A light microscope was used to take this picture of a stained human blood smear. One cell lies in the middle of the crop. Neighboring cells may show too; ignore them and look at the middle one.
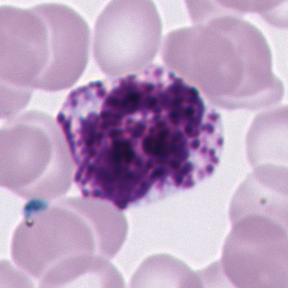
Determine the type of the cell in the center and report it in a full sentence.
The middle of this crop holds a basophil.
